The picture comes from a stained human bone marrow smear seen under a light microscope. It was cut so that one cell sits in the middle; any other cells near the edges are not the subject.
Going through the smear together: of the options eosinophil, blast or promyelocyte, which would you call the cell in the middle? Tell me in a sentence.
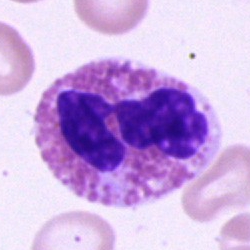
This crop is built around an eosinophil at its centre.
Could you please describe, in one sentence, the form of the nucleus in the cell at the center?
Nuclear material here is separated into two or more segments.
